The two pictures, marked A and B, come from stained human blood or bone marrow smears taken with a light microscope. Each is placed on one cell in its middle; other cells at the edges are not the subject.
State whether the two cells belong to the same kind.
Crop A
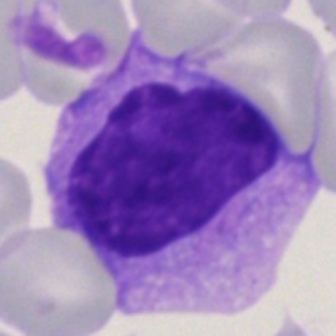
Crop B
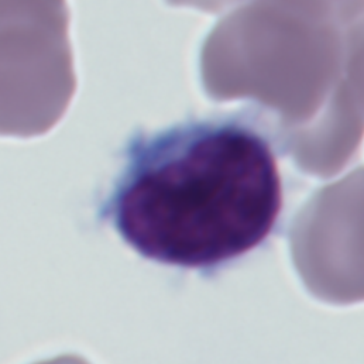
no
